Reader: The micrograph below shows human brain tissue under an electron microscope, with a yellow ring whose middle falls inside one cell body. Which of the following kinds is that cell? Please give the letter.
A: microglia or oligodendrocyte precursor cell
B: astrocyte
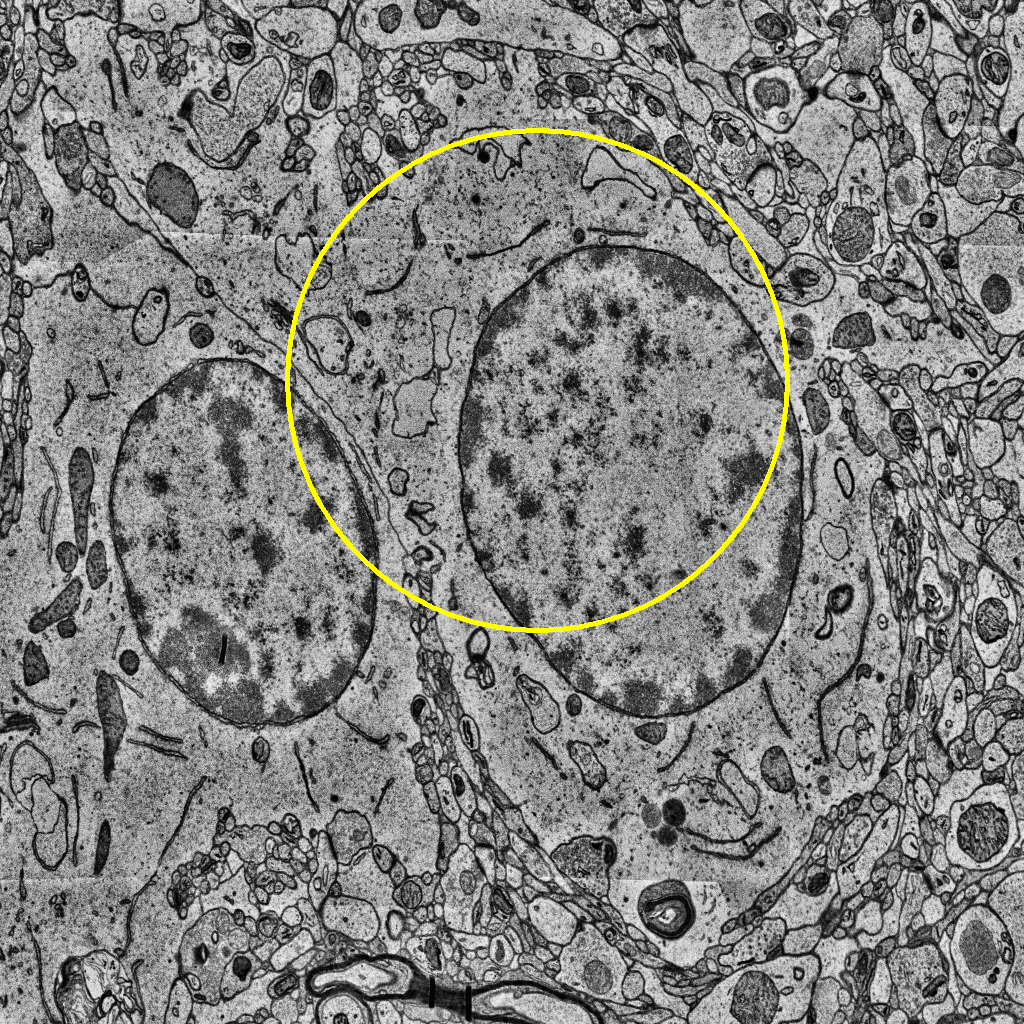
B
